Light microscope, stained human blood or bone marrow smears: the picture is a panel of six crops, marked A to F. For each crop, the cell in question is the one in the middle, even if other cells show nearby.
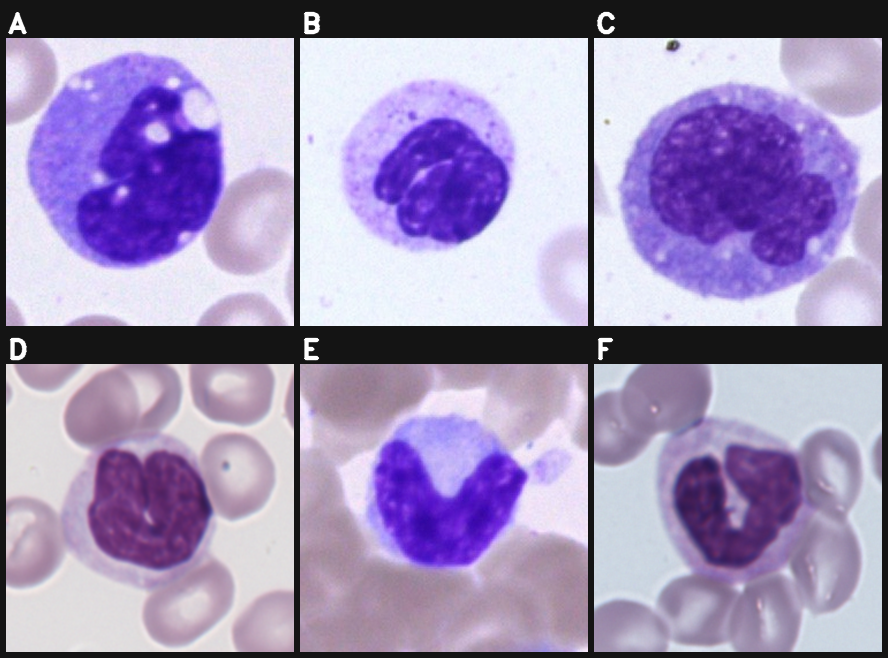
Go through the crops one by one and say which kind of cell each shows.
A: monocyte
B: segmented neutrophil
C: monocyte
D: band neutrophil
E: band neutrophil
F: band neutrophil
